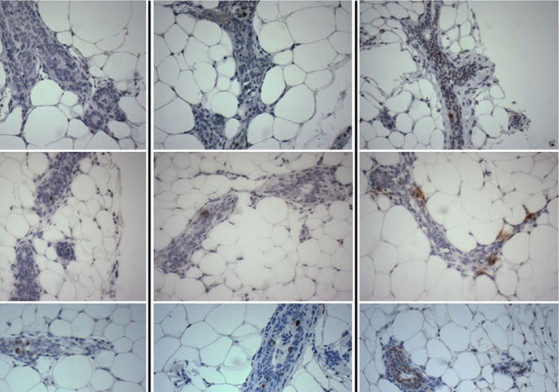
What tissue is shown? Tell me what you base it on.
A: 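Small epithelial ducts and cell cords are embedded in fat tissue. Most of the field is made up of large round fat cells with clear interiors.
Hence: mammary gland.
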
